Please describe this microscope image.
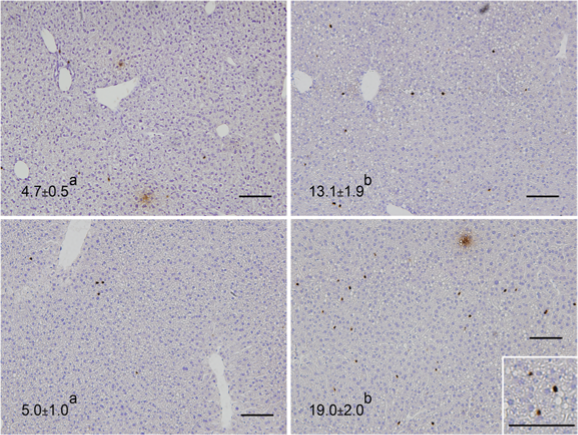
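These four fields show liver parenchyma made of sheets of polygonal hepatocytes with round, blue-counterstained nuclei and pale pink-violet cytoplasm. Open vessel lumina of varying size are scattered through the parenchyma. Small, isolated cells stained dark brown lie singly between the hepatocytes, and they are more numerous in the two right-hand fields than in the two left-hand fields. A higher-magnification inset in the lower right field shows several of these small brown cells among the hepatocytes.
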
